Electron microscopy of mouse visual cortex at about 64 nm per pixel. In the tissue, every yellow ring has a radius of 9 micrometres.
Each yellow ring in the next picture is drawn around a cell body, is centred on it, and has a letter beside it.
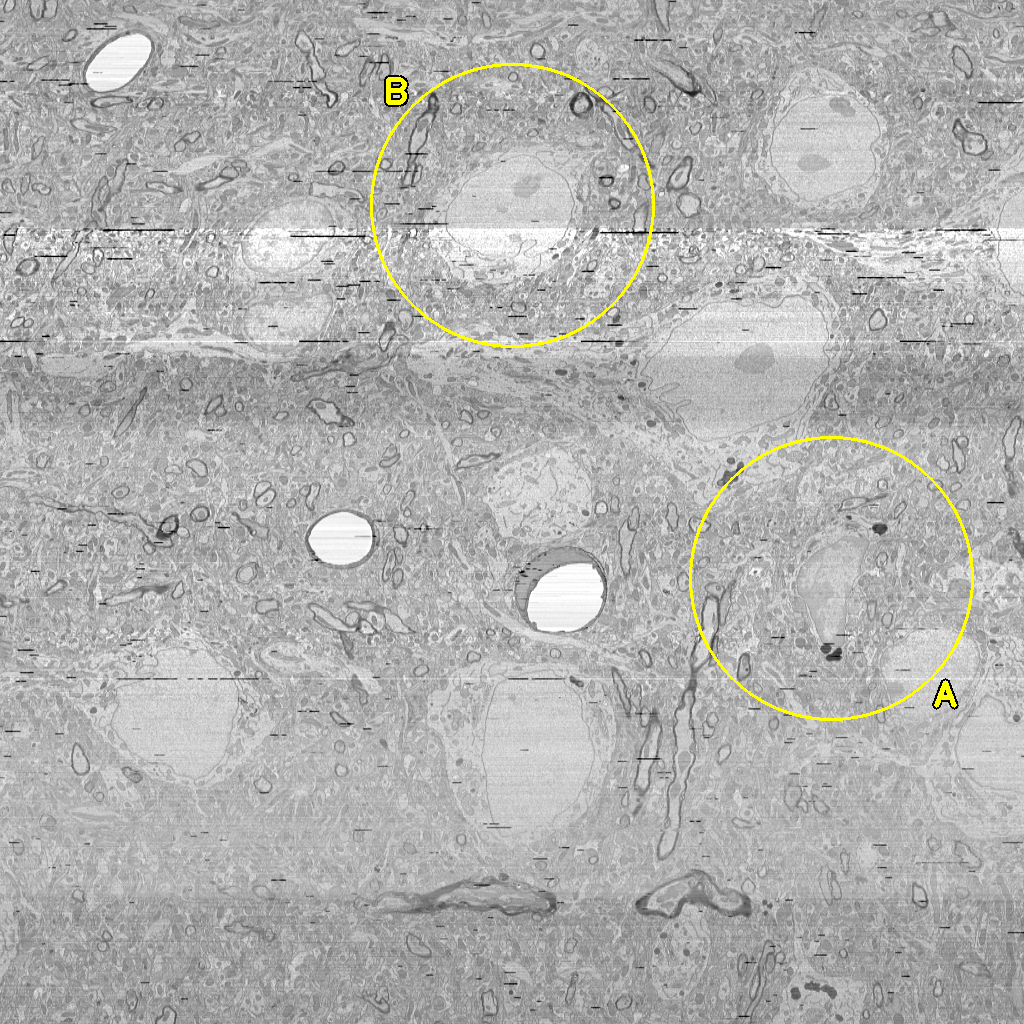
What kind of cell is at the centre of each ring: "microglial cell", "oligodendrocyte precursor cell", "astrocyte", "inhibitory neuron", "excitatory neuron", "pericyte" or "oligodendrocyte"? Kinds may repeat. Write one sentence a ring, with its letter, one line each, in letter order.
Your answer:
The centre of ring A falls on a microglial cell.
The centre of ring B falls on an excitatory neuron.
